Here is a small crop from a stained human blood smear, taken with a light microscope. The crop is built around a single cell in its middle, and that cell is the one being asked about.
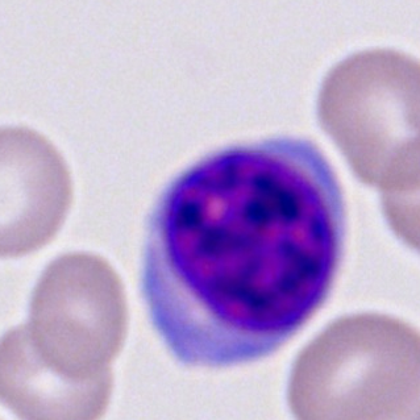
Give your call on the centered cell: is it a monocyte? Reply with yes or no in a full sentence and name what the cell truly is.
No, the central cell isn't a monocyte, but a lymphocyte.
